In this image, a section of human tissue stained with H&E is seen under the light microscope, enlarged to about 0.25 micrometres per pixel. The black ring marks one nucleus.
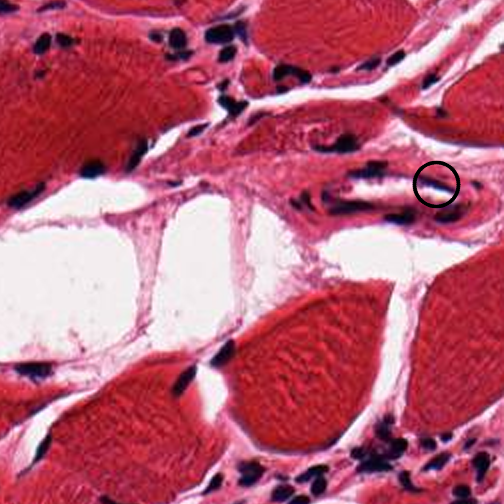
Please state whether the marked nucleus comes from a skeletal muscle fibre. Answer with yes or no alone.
no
